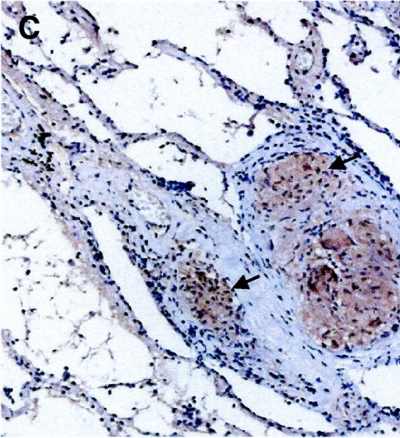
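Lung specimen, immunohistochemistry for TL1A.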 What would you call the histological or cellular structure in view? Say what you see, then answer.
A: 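Granulomatous nodule. Each cluster is ringed by a pale blue band of tissue with flattened nuclei. Thin alveolar walls surround the clusters.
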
